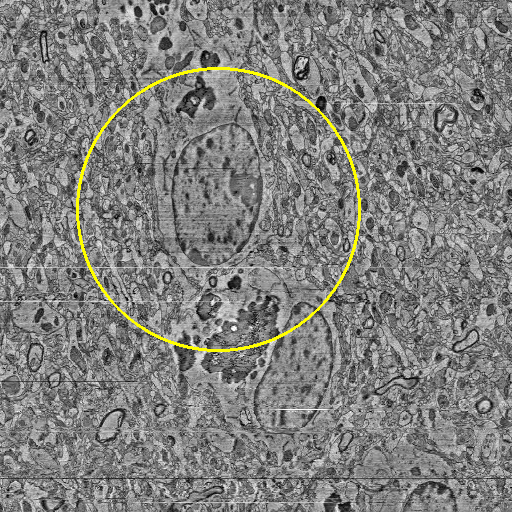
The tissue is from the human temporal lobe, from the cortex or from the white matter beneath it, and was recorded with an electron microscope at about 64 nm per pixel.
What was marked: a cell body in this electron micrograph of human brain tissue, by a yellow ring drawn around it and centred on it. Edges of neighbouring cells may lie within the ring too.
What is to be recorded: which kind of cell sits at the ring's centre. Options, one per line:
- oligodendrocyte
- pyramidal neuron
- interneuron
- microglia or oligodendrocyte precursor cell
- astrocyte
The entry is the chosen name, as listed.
astrocyte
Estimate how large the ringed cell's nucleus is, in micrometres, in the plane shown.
In this plane the nucleus is clearly longer than it is wide: roughly 9 by 6 micrometres.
